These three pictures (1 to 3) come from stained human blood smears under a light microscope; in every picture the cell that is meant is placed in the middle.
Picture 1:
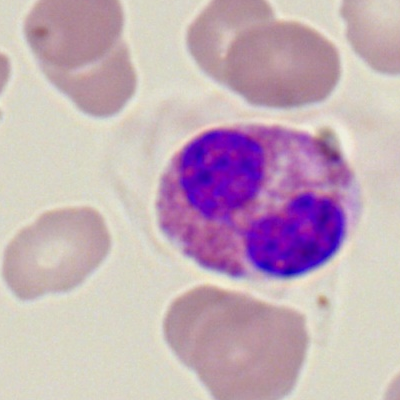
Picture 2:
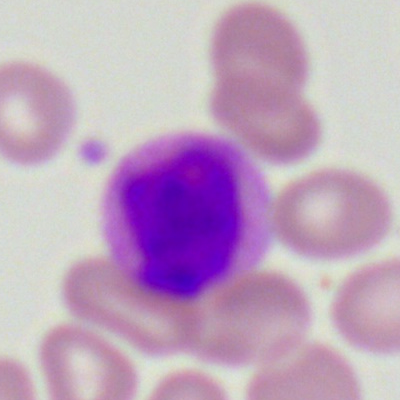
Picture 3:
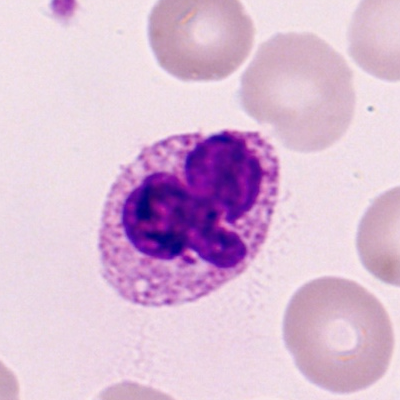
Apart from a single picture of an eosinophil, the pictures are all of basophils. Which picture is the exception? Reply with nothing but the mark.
1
